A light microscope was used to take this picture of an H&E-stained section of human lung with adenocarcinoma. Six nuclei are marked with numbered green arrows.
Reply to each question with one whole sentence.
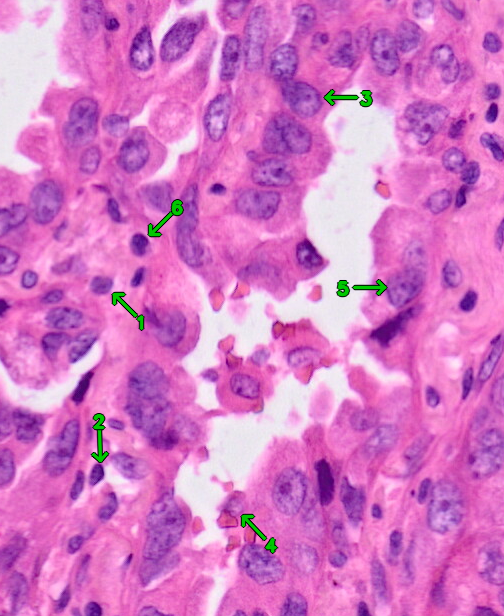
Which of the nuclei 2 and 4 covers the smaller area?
It is nucleus 2; nucleus 4 has about 1.5 times its area.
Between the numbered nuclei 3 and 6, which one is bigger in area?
The larger nucleus is 3, at roughly 3 times the area of 6.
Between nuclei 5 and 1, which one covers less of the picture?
Nucleus 1 is the smaller one; nucleus 5 covers about 3 times its area.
